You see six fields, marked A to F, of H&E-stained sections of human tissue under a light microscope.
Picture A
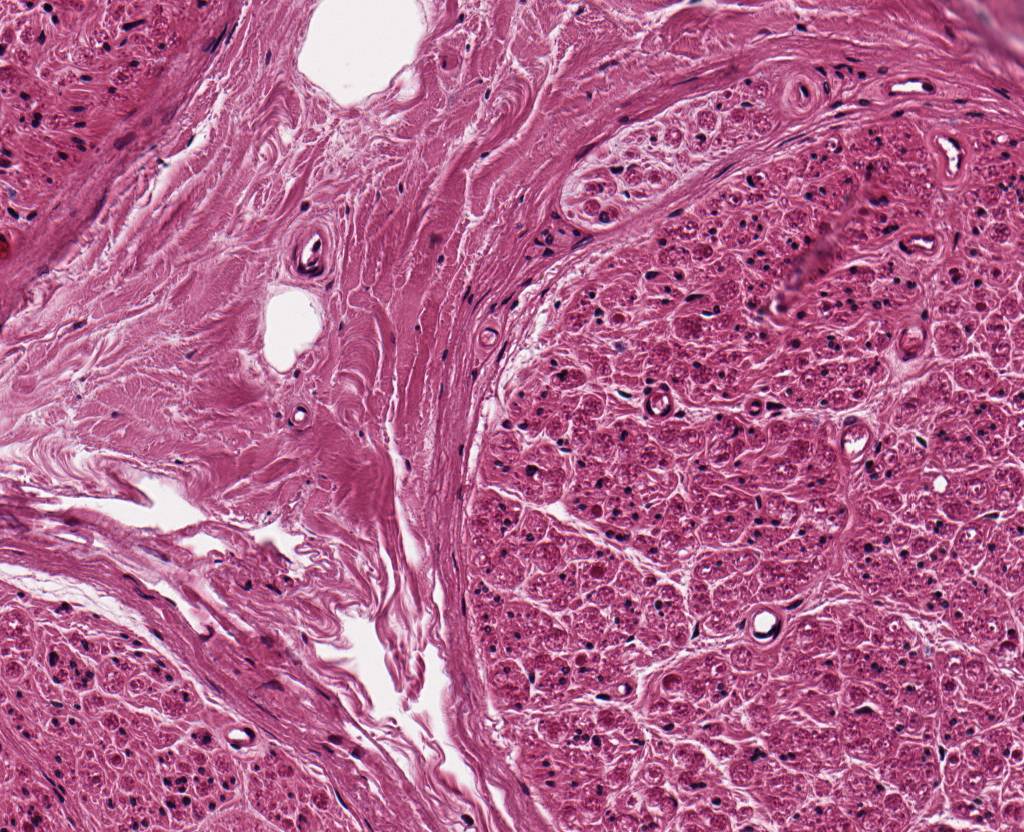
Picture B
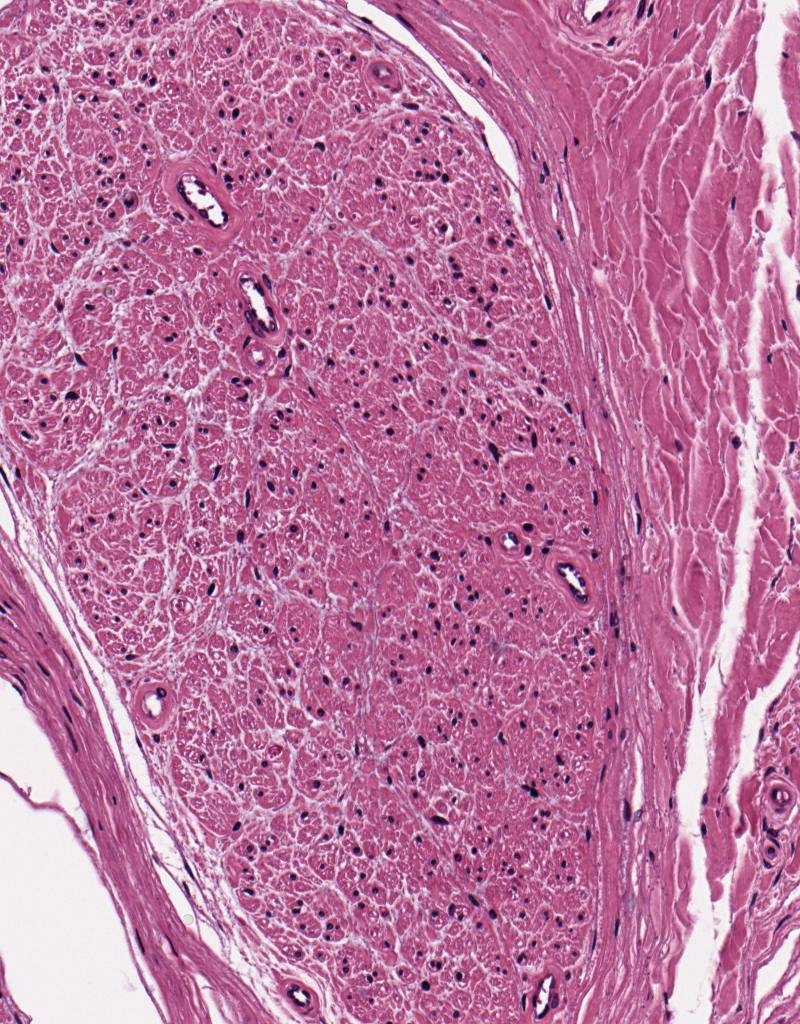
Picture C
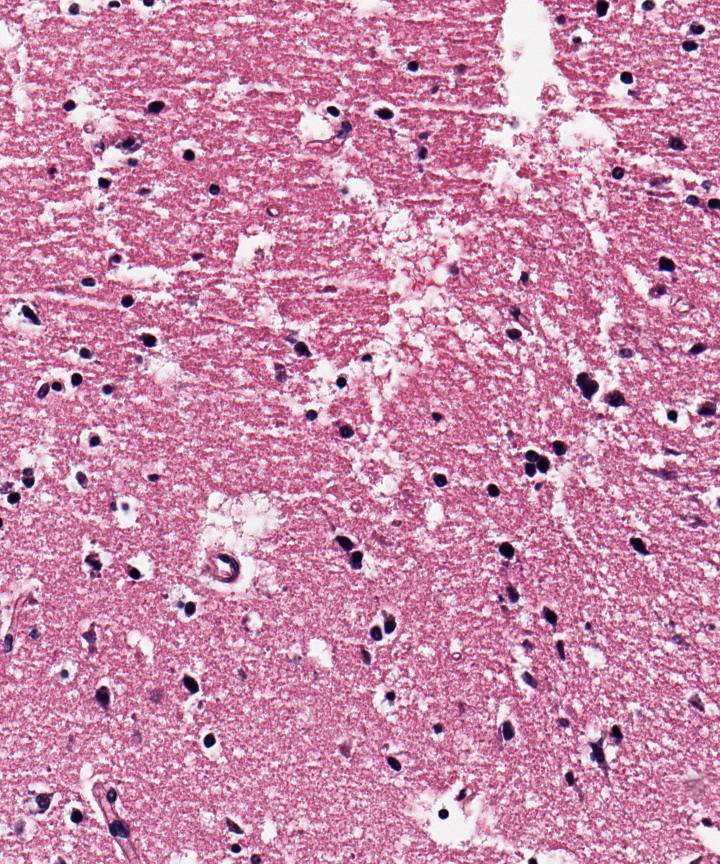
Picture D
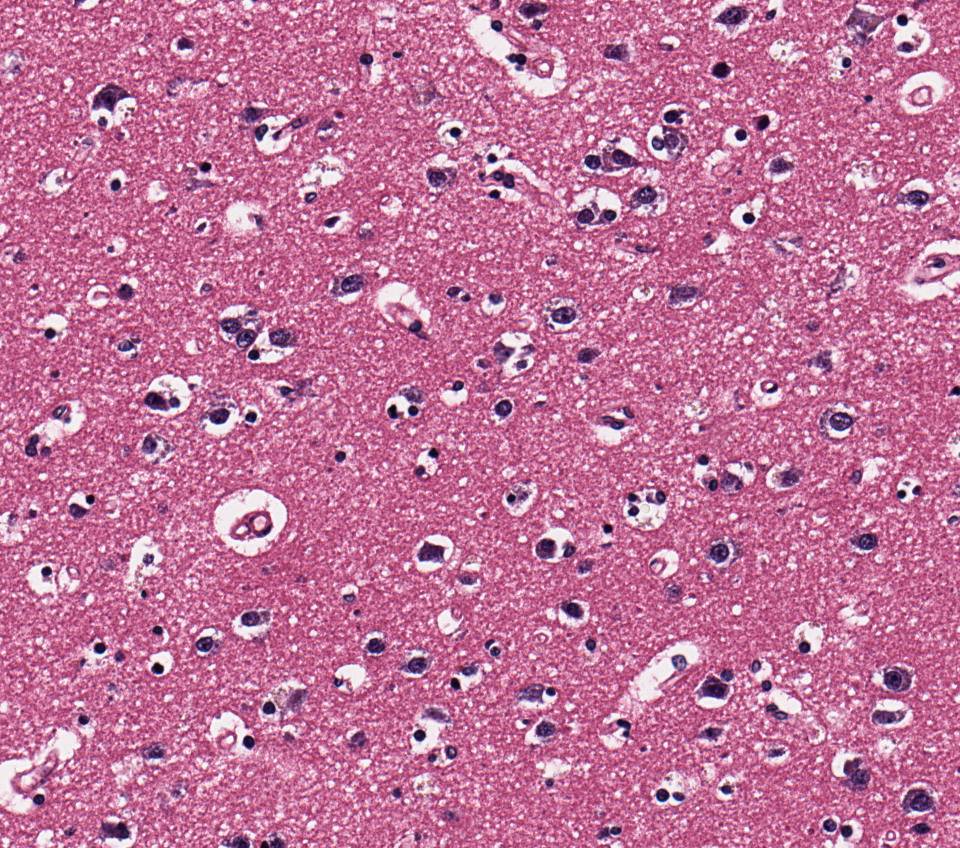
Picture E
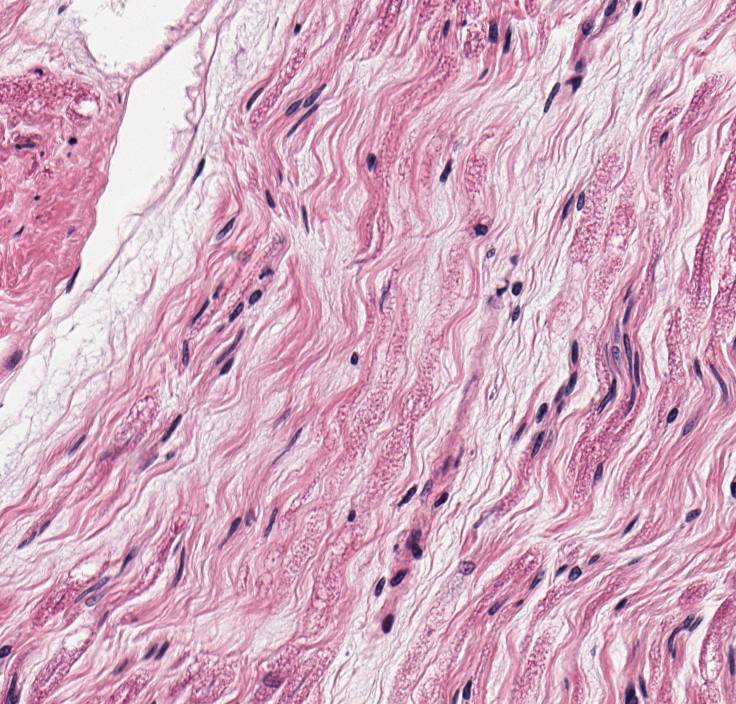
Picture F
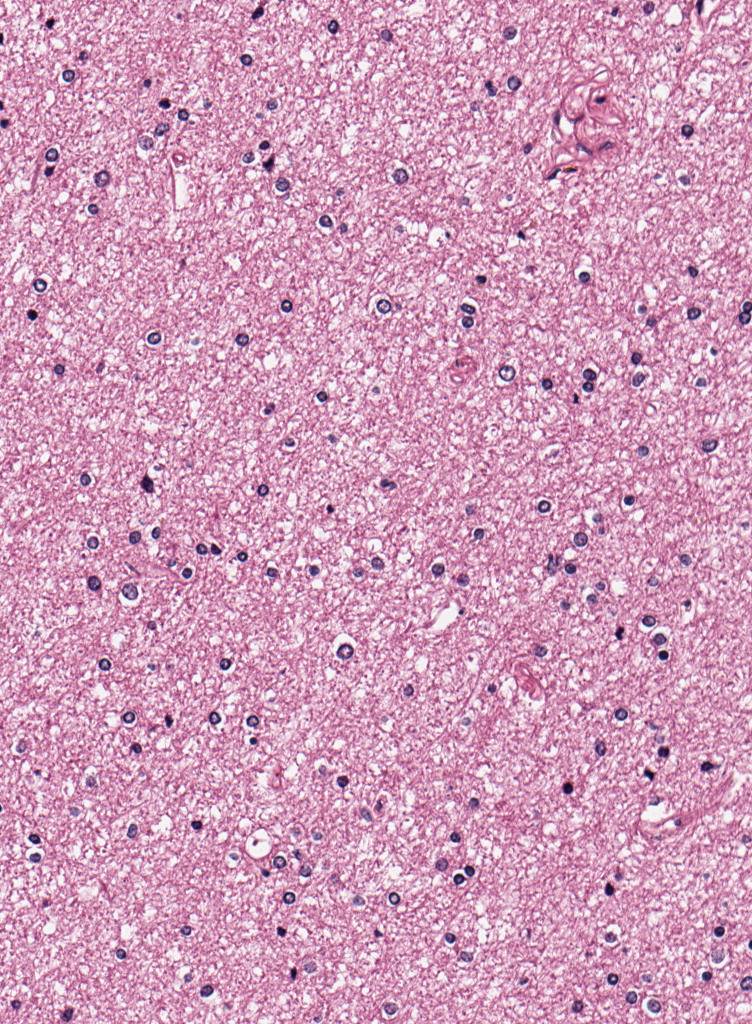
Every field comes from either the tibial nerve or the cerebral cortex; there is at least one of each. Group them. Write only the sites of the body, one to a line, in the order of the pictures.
tibial nerve
tibial nerve
cerebral cortex
cerebral cortex
tibial nerve
cerebral cortex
